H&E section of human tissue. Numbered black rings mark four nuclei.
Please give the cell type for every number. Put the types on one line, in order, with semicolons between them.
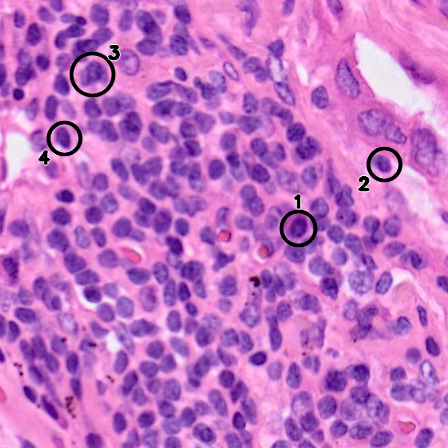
plasma cell; lymphocyte; lymphocyte; lymphocyte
